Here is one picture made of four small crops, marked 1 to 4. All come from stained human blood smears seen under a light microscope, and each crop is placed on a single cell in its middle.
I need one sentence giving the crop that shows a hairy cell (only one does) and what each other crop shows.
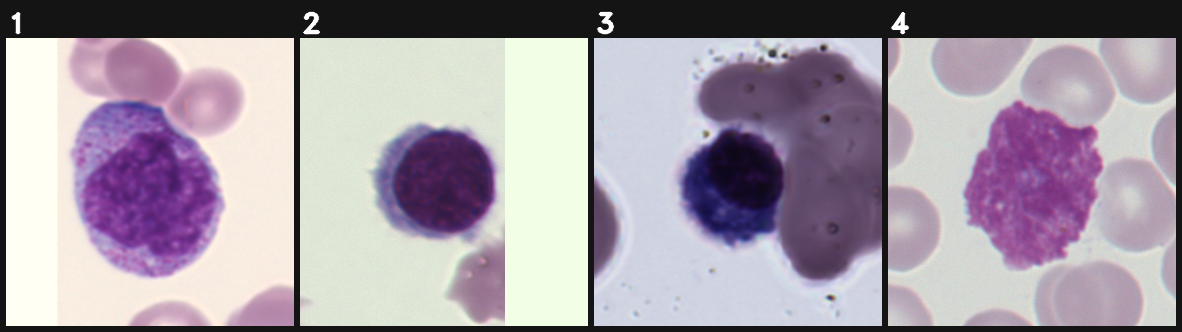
In crop 2 the central cell is a hairy cell, while crop 1 is an atypical promyelocyte, crop 3 is a plasma cell and crop 4 is a smudge cell.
